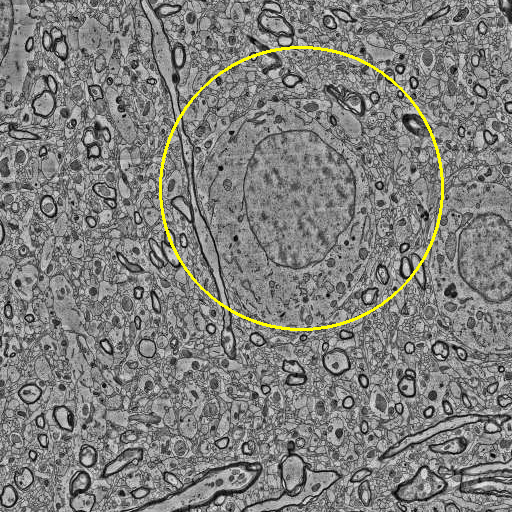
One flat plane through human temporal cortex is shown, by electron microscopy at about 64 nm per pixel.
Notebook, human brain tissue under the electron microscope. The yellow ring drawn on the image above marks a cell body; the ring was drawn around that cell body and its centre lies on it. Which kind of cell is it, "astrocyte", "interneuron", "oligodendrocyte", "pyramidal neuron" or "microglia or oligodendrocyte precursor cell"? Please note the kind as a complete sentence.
The marked cell body is that of a pyramidal neuron.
